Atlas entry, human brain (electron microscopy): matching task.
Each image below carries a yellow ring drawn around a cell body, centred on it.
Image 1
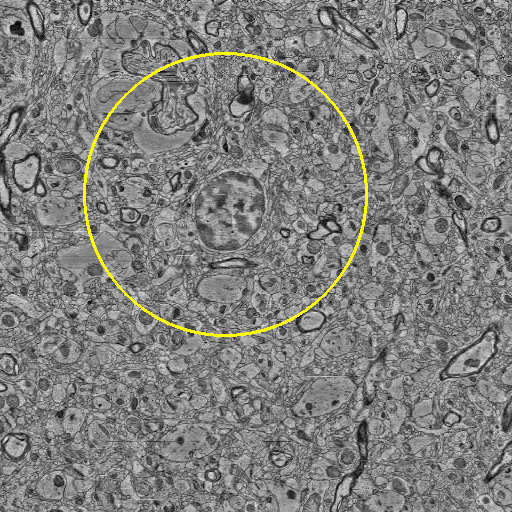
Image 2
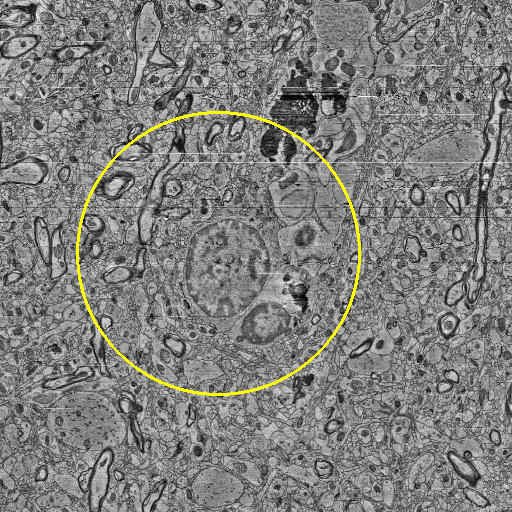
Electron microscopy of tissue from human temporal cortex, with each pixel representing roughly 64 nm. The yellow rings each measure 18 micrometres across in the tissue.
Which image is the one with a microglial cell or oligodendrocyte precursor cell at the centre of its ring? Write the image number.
1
